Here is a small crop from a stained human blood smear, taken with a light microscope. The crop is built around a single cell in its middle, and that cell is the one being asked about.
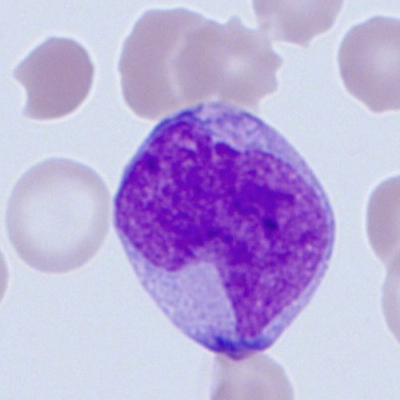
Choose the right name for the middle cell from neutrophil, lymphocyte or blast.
blast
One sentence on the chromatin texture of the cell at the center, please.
The chromatin is fine; coarse clumps are not a feature here.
